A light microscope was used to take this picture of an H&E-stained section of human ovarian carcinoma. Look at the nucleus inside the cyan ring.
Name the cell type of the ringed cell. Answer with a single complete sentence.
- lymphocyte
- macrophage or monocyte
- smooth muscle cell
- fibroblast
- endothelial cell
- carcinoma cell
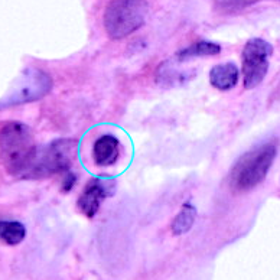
This is a lymphocyte.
